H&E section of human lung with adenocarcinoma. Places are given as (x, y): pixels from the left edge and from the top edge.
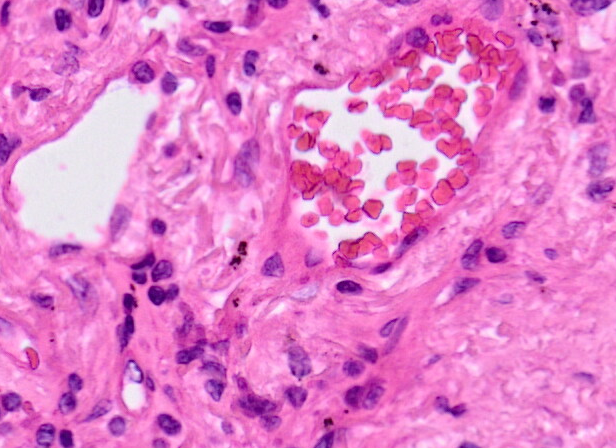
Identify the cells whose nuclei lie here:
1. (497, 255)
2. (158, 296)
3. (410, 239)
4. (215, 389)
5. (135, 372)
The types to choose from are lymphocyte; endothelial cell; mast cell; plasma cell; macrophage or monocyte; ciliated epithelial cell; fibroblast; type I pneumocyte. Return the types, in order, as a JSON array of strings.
["plasma cell", "lymphocyte", "endothelial cell", "lymphocyte", "endothelial cell"]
